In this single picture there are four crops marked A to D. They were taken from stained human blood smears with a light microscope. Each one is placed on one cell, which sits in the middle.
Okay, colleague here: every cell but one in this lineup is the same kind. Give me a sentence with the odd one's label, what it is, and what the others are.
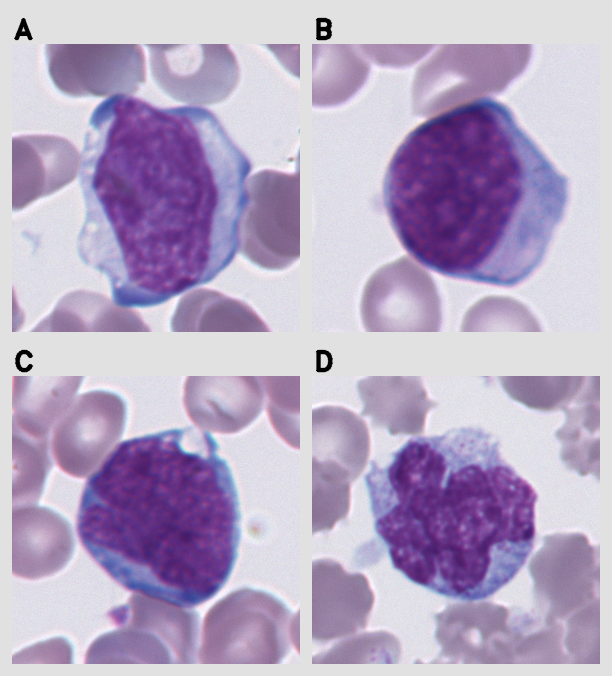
Among these crops, blasts occur in all but crop D, which contains a monocyte.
